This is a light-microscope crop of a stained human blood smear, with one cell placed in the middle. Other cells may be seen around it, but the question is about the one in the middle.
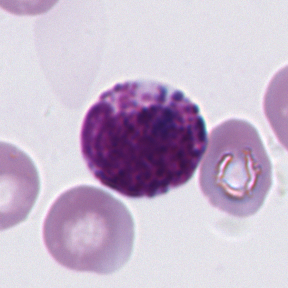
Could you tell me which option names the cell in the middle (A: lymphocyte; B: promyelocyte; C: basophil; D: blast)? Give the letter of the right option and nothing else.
C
